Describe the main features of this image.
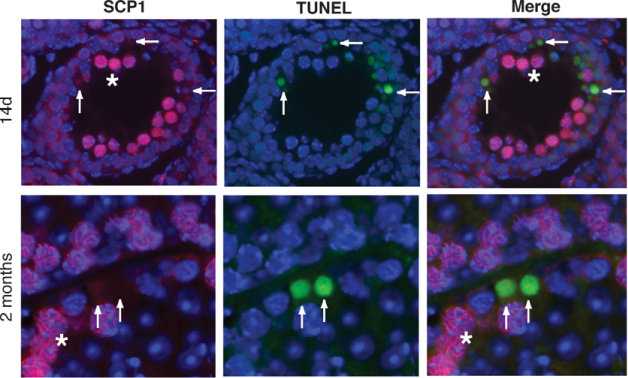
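Sections of seminiferous tubules in which germ cells with blue nuclei are arranged in layers around a central lumen. Several large round nuclei in the inner layers are filled with red stain and are marked by a white asterisk. A few cells with small, bright green, condensed nuclei lie among the germ cells and are marked by white arrows.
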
